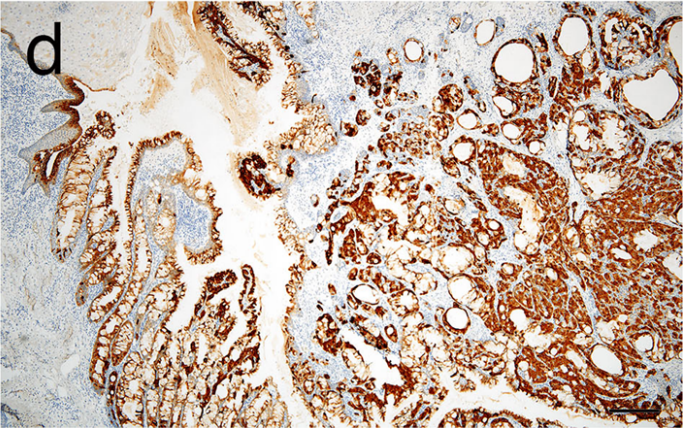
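The folded papillary lining at the left also stains brown along its cells. The cystic spaces appear clear or contain faint pale material. The stain sits in the cytoplasm of the tumor cells, leaving nuclei less marked.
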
